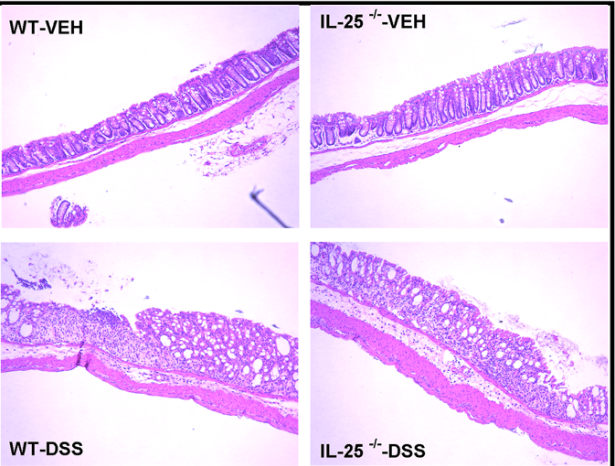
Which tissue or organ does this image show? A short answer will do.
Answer: Colon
